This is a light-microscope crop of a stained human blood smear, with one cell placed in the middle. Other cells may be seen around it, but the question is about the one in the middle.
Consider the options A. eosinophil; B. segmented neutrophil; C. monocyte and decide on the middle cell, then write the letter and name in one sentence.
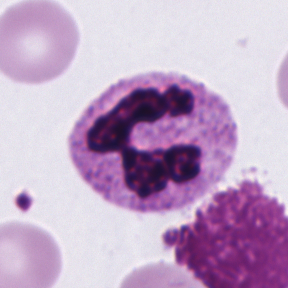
The correct option here is B; the middle cell is a segmented neutrophil.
